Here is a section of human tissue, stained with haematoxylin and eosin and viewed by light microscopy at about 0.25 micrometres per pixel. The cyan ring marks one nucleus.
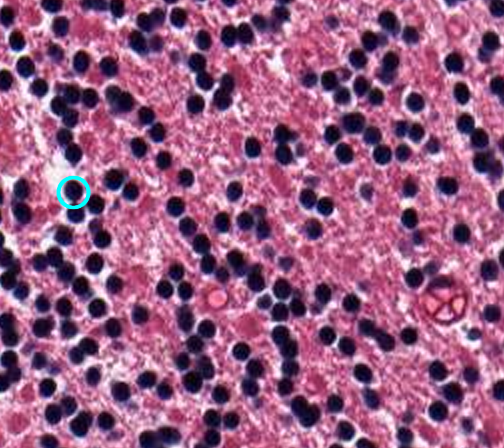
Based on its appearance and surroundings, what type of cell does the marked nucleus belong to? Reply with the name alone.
cerebellar granule cell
